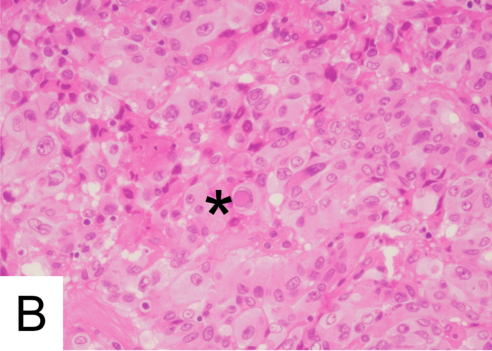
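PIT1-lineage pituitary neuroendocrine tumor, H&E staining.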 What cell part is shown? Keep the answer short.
acidophilic cytoplasm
